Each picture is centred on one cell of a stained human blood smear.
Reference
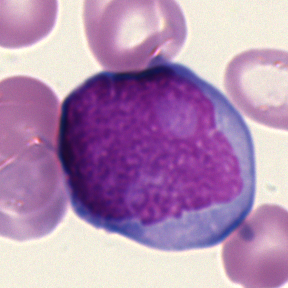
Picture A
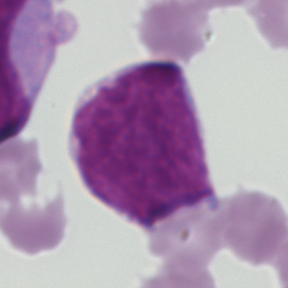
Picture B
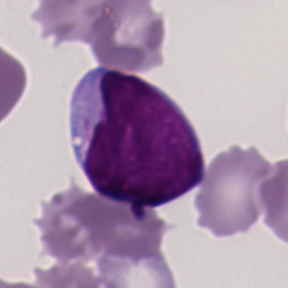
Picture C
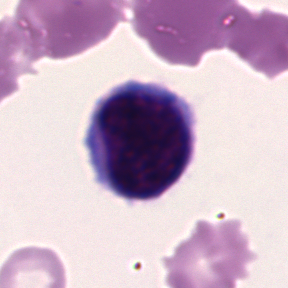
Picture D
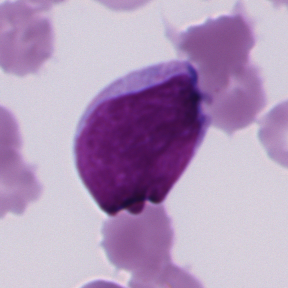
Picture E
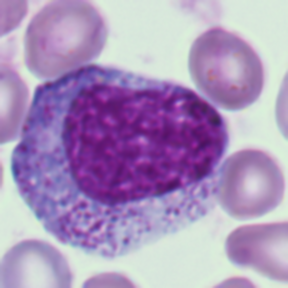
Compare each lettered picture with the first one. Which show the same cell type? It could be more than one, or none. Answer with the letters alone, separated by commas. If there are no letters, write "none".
A, B, D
